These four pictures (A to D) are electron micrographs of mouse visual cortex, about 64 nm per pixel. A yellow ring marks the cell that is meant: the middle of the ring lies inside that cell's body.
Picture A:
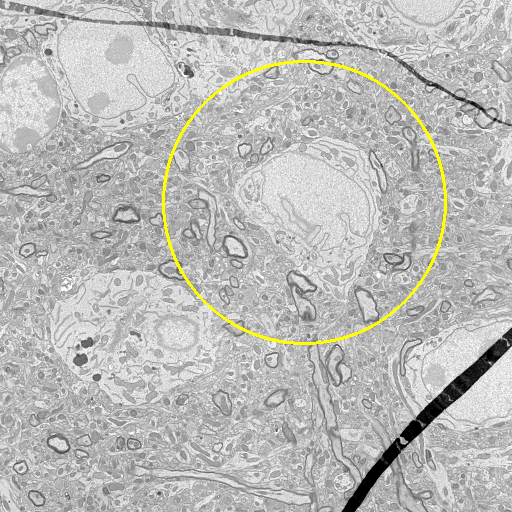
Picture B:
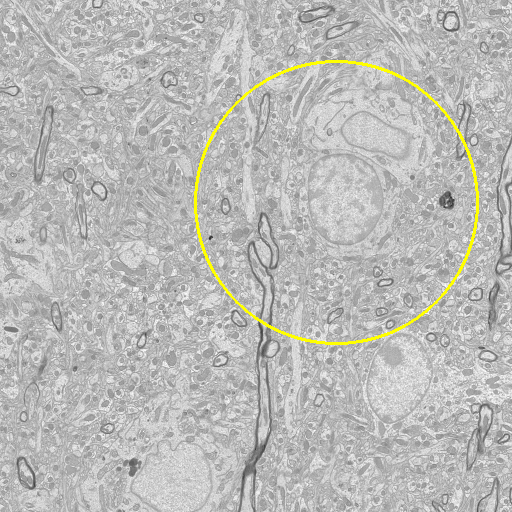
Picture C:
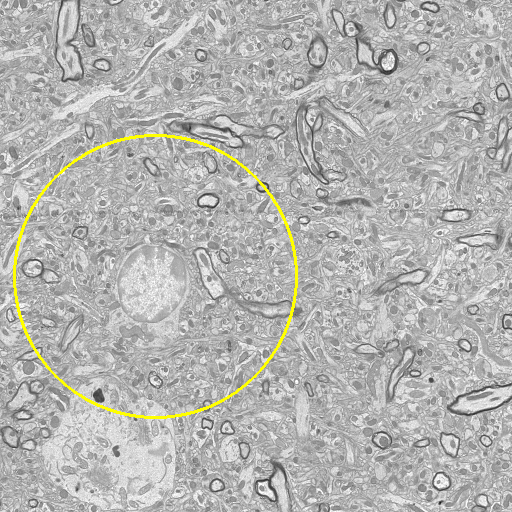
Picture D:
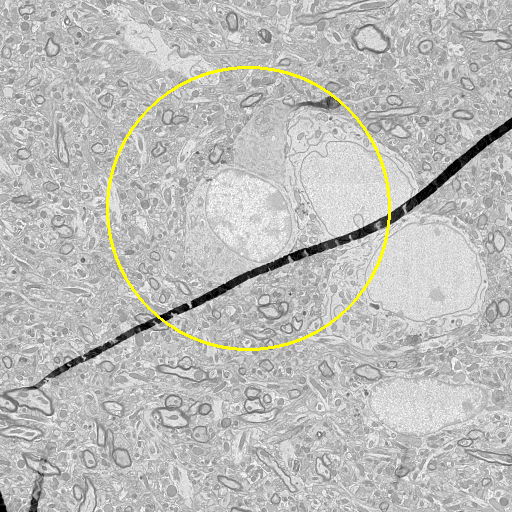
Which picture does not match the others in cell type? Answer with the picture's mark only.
A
